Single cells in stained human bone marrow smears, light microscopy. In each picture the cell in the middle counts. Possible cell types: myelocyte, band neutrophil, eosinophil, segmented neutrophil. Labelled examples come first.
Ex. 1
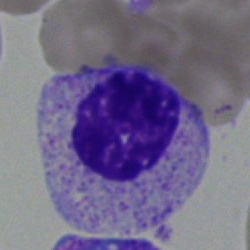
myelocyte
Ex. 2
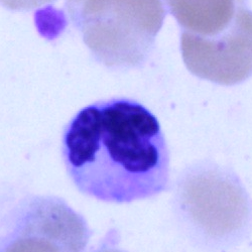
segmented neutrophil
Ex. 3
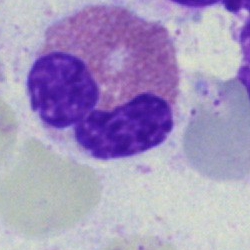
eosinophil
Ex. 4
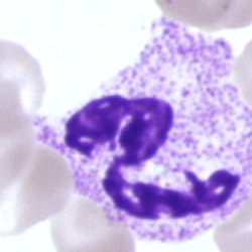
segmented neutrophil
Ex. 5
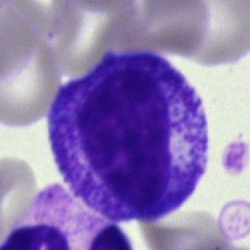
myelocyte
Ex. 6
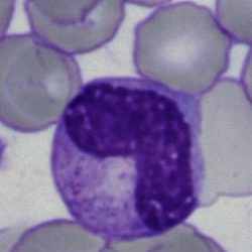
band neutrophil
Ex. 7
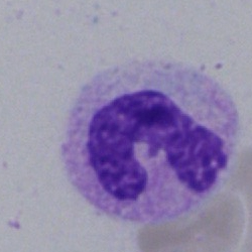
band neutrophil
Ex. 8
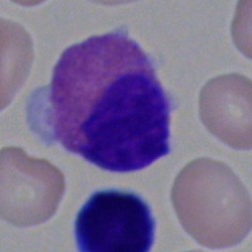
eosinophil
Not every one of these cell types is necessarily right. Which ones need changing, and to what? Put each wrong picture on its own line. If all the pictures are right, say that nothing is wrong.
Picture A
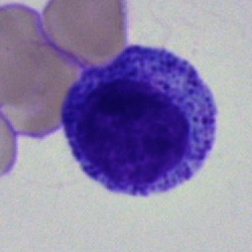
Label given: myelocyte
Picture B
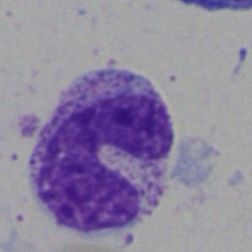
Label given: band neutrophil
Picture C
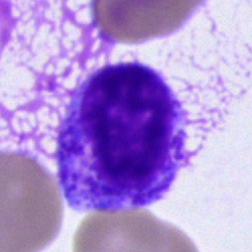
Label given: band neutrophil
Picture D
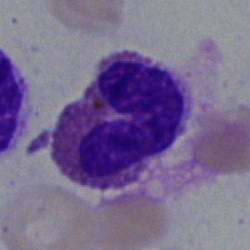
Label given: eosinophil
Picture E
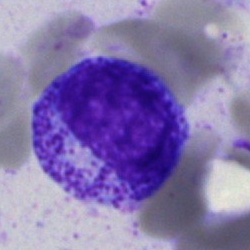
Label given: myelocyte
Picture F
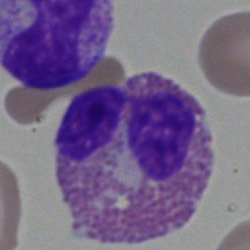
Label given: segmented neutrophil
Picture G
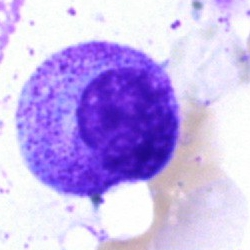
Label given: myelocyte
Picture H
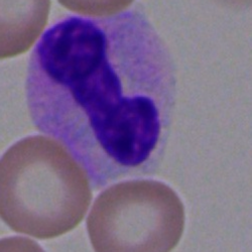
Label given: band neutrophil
Wrong: C (band neutrophil); correct: myelocyte
Wrong: F (segmented neutrophil); correct: eosinophil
